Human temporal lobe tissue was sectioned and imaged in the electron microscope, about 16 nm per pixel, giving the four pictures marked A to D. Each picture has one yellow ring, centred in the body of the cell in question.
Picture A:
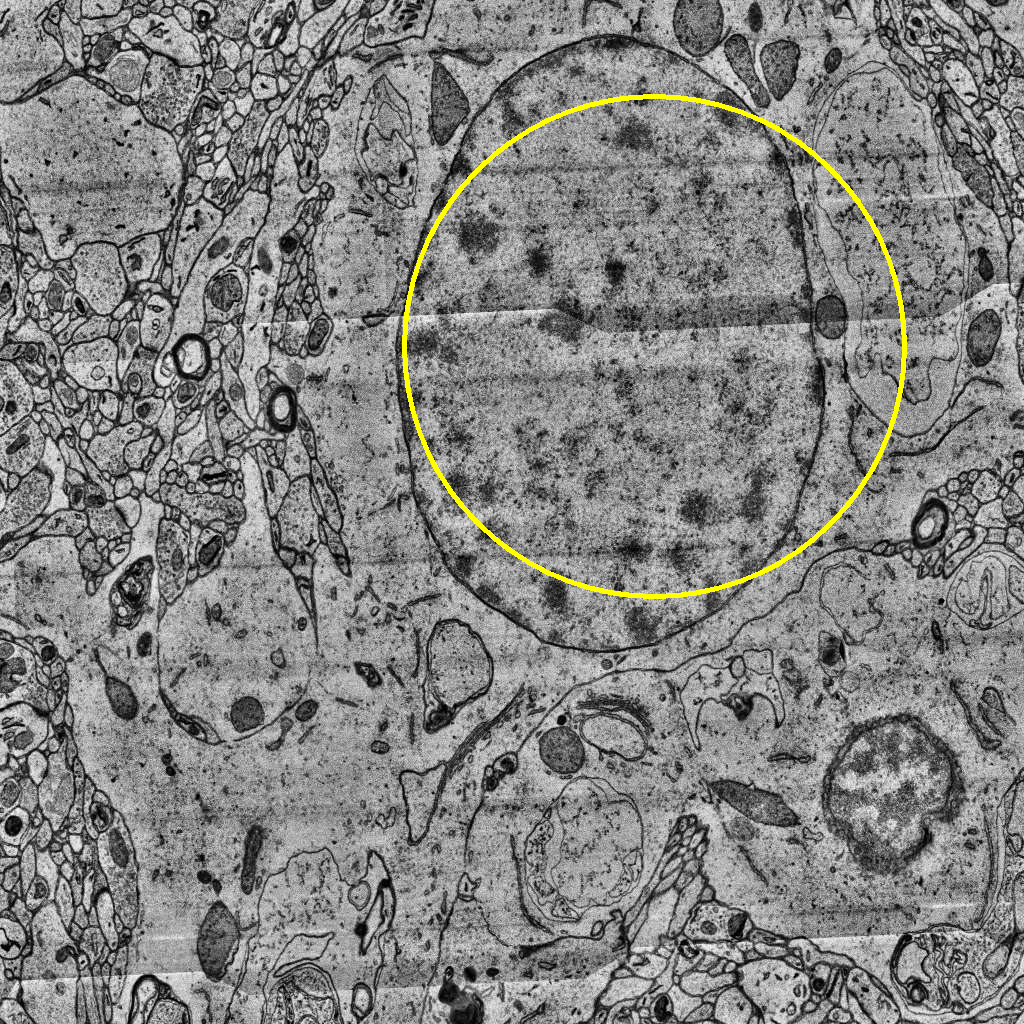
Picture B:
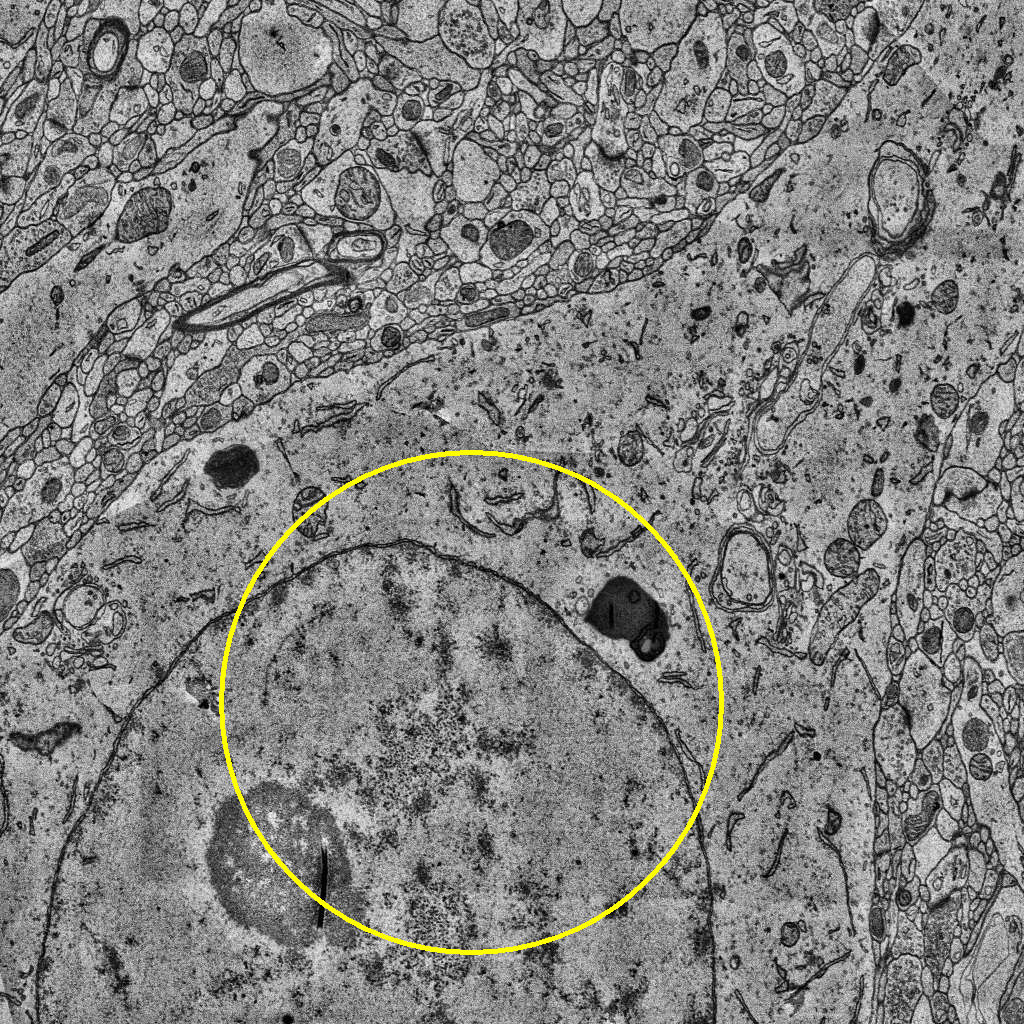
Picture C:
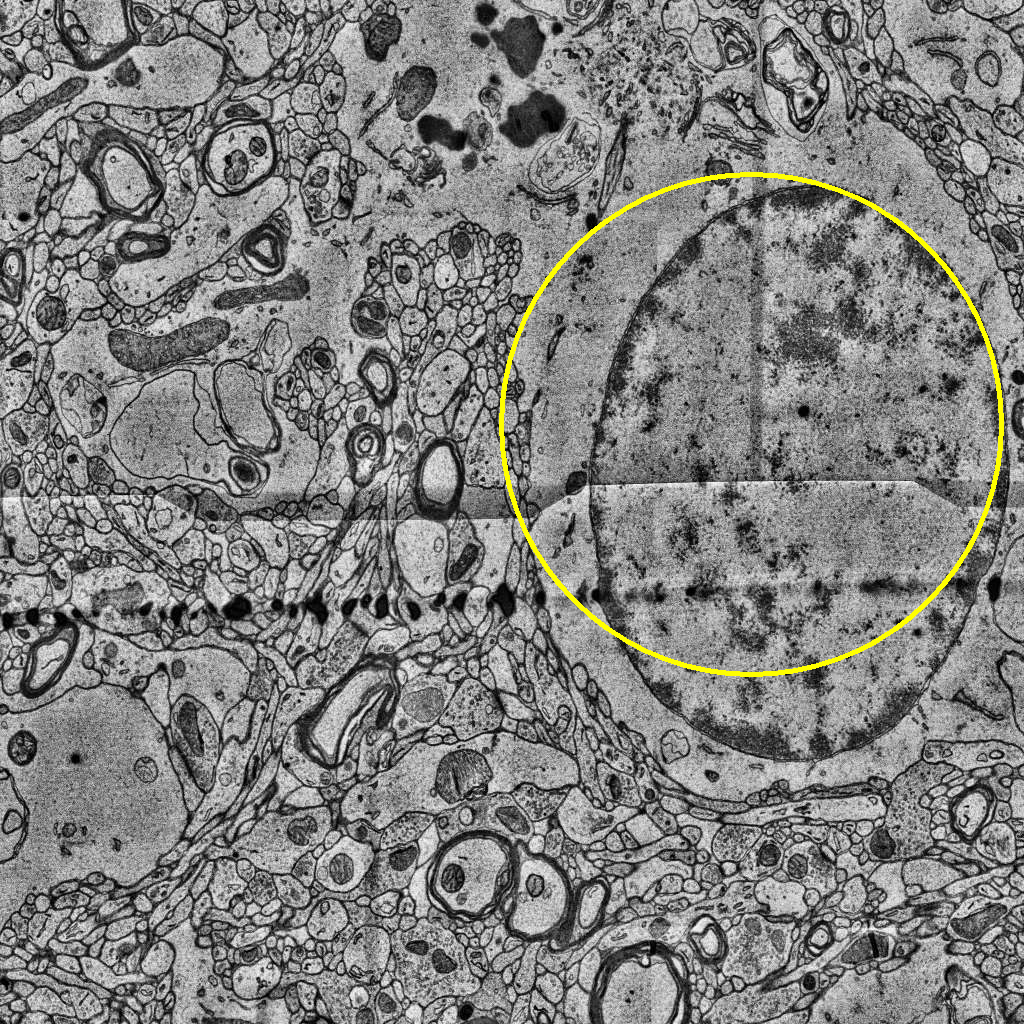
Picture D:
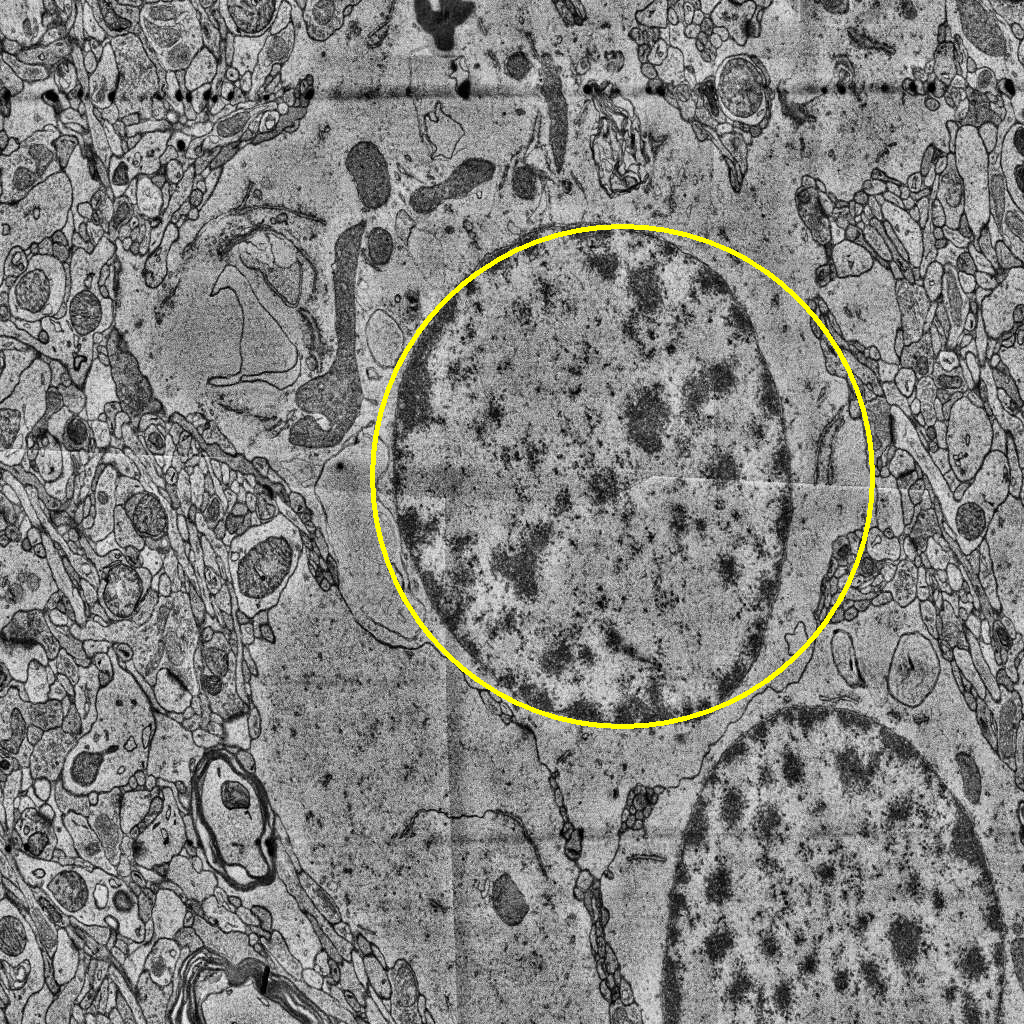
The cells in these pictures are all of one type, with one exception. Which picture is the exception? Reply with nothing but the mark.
B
